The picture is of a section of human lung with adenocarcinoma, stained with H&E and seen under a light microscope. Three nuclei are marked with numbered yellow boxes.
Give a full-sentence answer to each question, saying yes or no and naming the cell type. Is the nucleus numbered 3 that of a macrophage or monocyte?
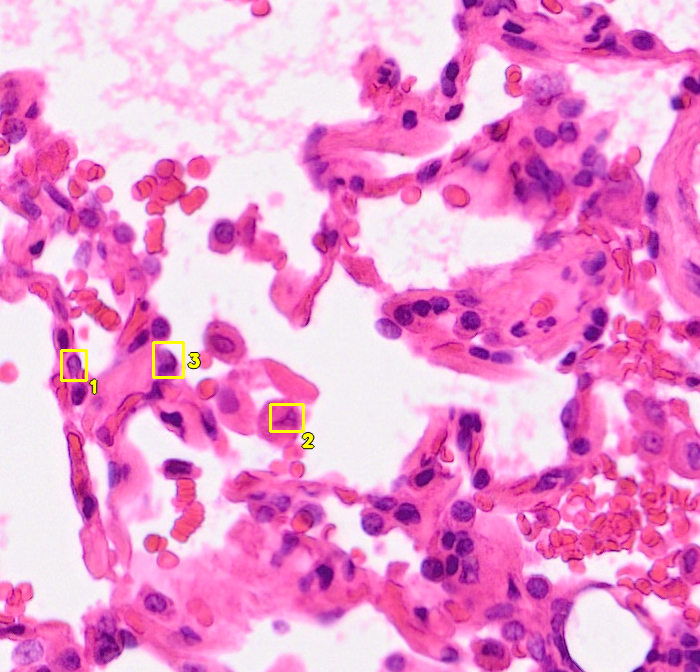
No, the cell labelled number 3 is not a macrophage or monocyte; it is a type I pneumocyte.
